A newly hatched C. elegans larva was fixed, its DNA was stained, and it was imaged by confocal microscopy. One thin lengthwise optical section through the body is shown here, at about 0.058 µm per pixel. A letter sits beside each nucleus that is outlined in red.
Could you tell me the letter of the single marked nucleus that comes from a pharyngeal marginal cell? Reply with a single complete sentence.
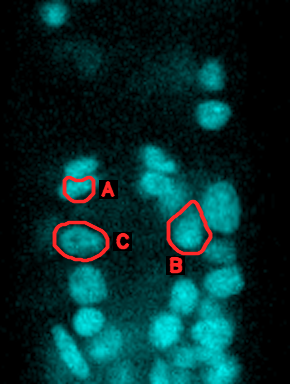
The nucleus of a pharyngeal marginal cell is B.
